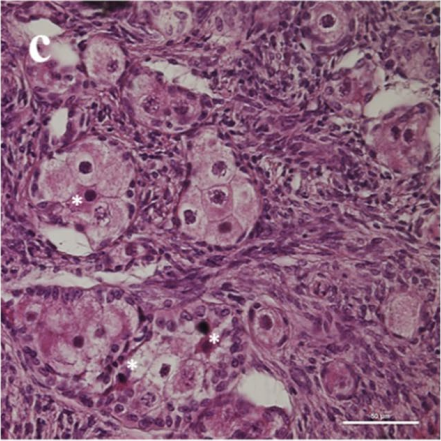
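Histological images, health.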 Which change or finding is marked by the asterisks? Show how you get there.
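Dark condensed spots are found beside some marked cells. The marked cells lie within follicles among other large round cells.
Conclusion: damaged oocytes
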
